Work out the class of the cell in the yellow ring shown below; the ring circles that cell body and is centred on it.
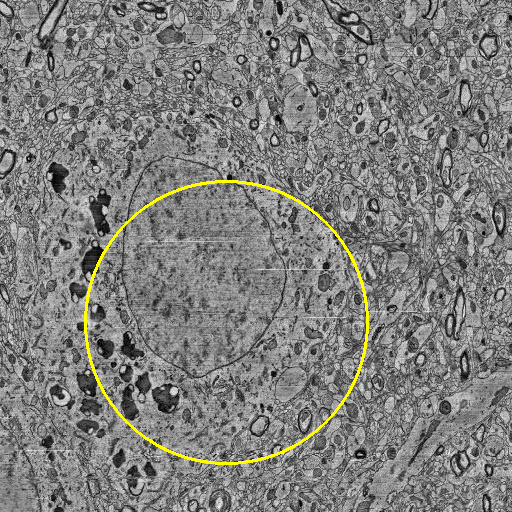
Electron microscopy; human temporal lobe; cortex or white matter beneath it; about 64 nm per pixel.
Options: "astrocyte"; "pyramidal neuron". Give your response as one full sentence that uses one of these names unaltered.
The body ringed in yellow, right at the ring's centre, is that of a pyramidal neuron.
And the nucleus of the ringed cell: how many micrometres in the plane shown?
In this plane, roughly 15 by 11 micrometres.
